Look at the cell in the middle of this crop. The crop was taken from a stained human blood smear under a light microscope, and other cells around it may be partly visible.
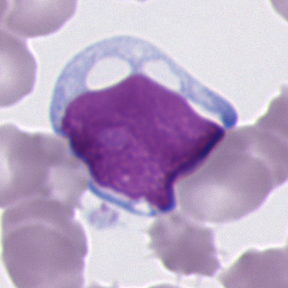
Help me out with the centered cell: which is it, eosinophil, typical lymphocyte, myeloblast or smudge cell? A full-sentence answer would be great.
Seen at the centre of the crop is a typical lymphocyte.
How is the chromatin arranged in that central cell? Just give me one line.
In this cell the chromatin is fine rather than coarsely clumped.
